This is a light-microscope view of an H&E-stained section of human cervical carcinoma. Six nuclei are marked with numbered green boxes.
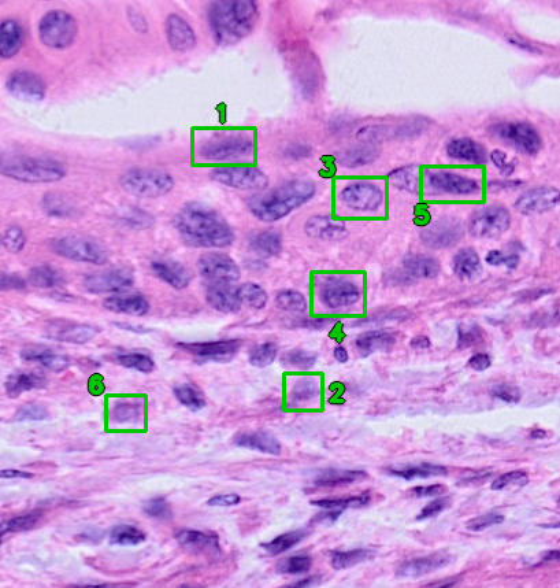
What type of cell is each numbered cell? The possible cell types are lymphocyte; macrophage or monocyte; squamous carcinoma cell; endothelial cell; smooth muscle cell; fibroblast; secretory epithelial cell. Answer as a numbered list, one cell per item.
1. squamous carcinoma cell
2. fibroblast
3. squamous carcinoma cell
4. squamous carcinoma cell
5. squamous carcinoma cell
6. fibroblast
